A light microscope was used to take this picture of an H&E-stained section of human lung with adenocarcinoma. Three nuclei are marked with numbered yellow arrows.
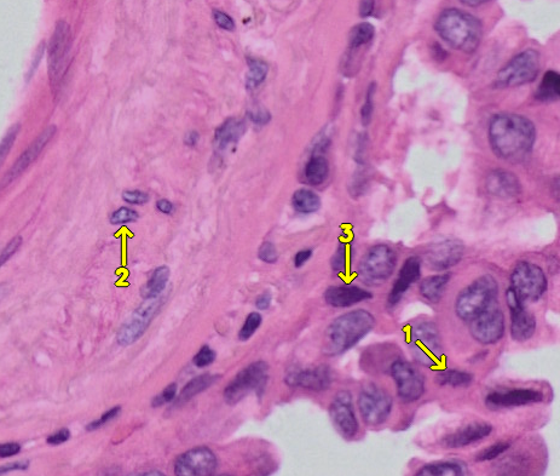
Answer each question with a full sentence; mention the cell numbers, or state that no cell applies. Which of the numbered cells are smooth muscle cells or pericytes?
Only the nucleus marked 2 is that of a smooth muscle cell or pericyte.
